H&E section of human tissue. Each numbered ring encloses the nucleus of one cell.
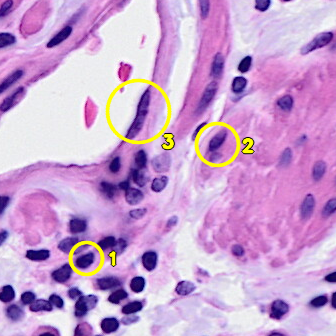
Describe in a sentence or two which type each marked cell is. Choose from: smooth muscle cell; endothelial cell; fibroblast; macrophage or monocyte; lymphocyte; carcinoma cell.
Cell 1 is a lymphocyte. Cell 2 is a smooth muscle cell. Cell 3 is an endothelial cell.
